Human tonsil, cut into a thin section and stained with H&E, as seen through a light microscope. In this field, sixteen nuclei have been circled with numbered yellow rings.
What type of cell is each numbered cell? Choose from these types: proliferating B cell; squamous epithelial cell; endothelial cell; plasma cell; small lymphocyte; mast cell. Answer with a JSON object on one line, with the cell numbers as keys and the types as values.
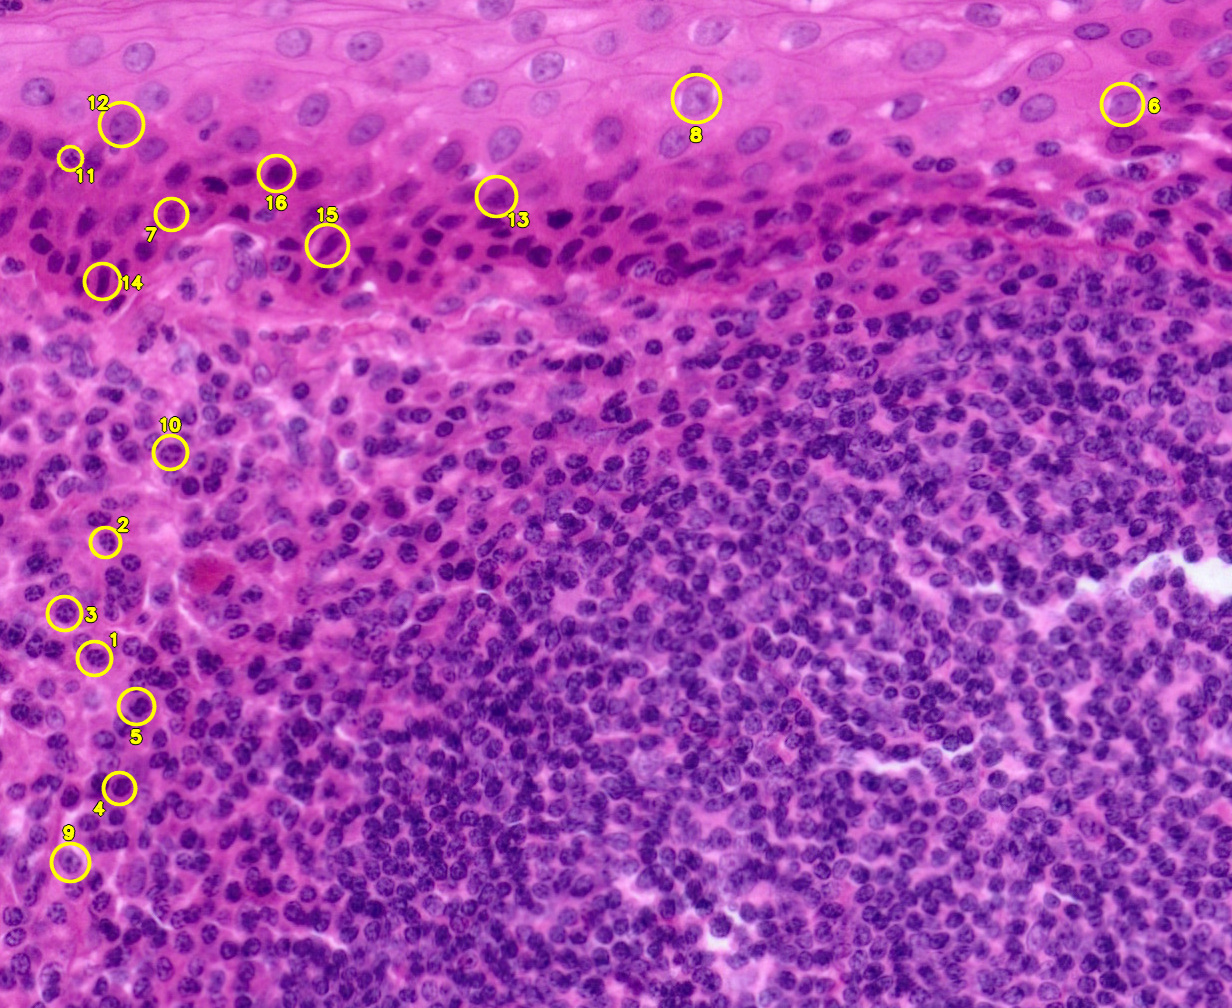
{"1": "plasma cell", "2": "plasma cell", "3": "plasma cell", "4": "plasma cell", "5": "plasma cell", "6": "squamous epithelial cell", "7": "squamous epithelial cell", "8": "squamous epithelial cell", "9": "plasma cell", "10": "plasma cell", "11": "squamous epithelial cell", "12": "squamous epithelial cell", "13": "squamous epithelial cell", "14": "squamous epithelial cell", "15": "squamous epithelial cell", "16": "squamous epithelial cell"}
